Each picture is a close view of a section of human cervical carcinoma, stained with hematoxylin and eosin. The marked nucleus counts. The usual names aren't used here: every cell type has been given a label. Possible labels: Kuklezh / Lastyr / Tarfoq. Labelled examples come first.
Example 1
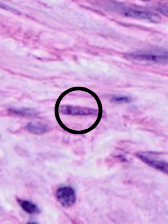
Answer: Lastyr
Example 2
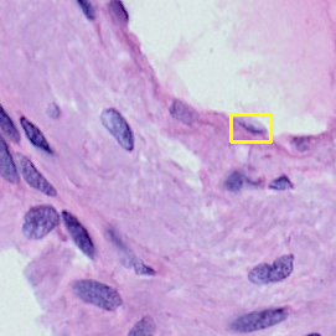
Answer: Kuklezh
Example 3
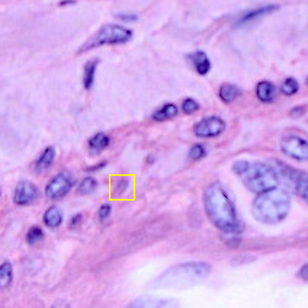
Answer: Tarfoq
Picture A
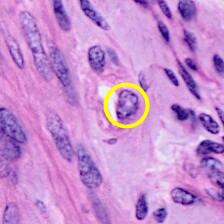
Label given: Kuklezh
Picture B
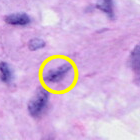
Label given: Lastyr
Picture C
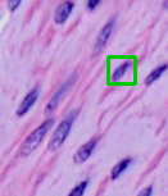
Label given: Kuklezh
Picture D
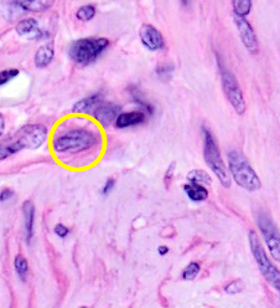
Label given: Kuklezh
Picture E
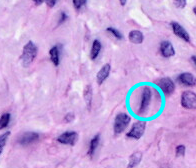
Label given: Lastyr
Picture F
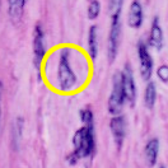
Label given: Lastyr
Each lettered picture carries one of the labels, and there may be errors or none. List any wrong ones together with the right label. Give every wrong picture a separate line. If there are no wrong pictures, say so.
C: not Kuklezh but Tarfoq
